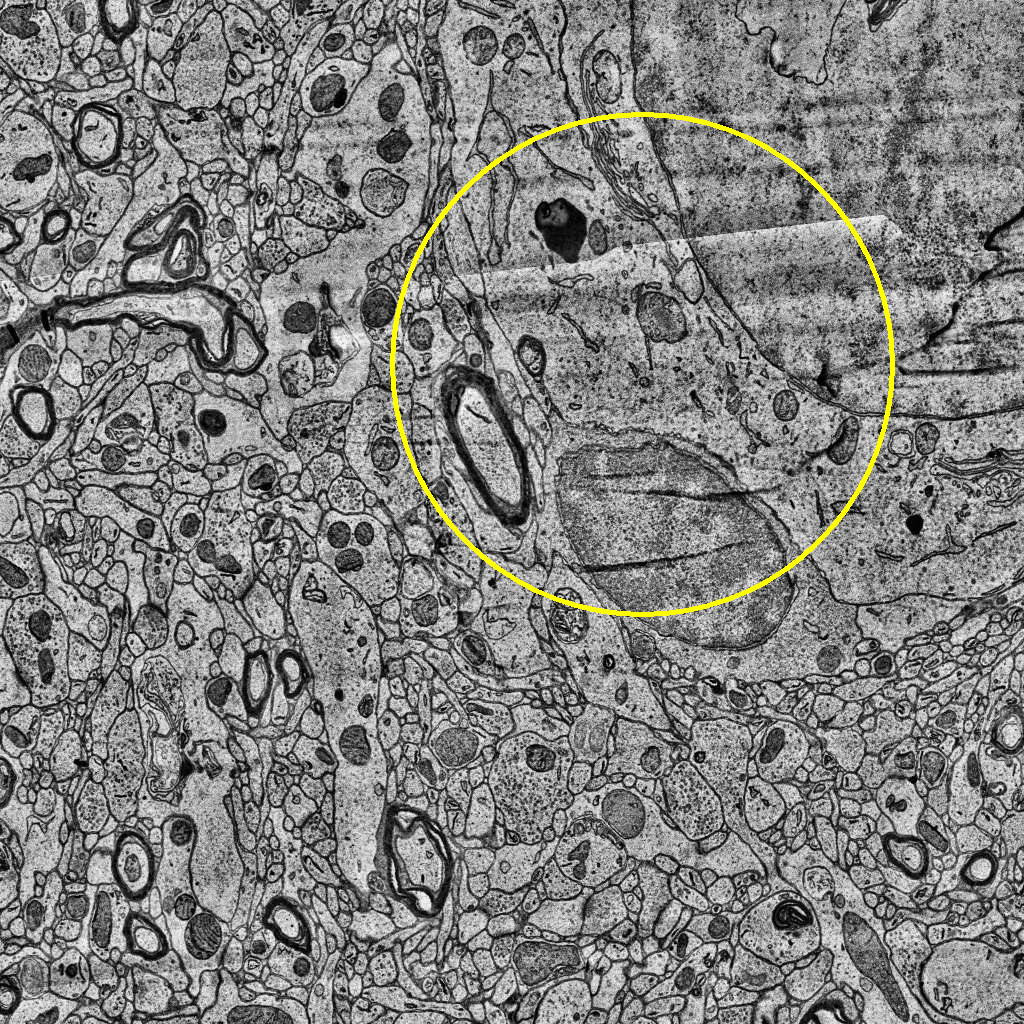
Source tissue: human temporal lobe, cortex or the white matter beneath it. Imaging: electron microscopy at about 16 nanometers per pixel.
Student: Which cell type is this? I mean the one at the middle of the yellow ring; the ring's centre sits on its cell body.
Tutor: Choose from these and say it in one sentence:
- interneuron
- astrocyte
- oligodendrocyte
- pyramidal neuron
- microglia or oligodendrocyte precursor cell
The cell at the ring's centre is an oligodendrocyte.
